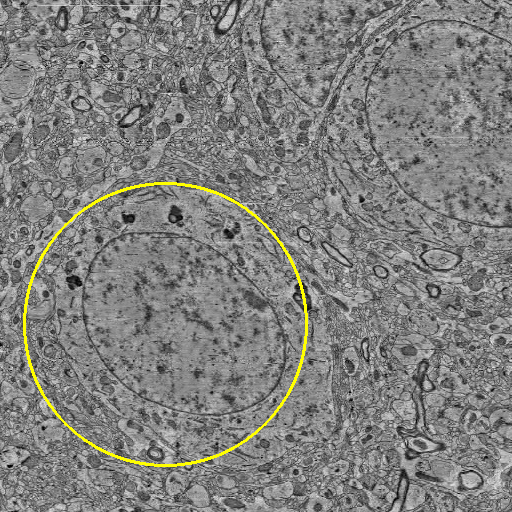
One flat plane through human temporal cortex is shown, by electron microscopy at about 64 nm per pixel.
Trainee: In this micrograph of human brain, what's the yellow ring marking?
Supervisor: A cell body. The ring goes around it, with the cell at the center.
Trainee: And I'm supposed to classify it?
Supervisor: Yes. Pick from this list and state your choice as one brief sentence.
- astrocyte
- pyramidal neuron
The cell at the ring's center is a pyramidal neuron.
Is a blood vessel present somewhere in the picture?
No, there is none.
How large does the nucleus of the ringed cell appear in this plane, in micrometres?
In this plane the nucleus spans approximately 14 by 11 micrometers.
